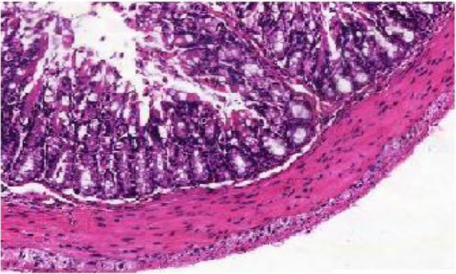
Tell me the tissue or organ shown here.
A: Normal mucosa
